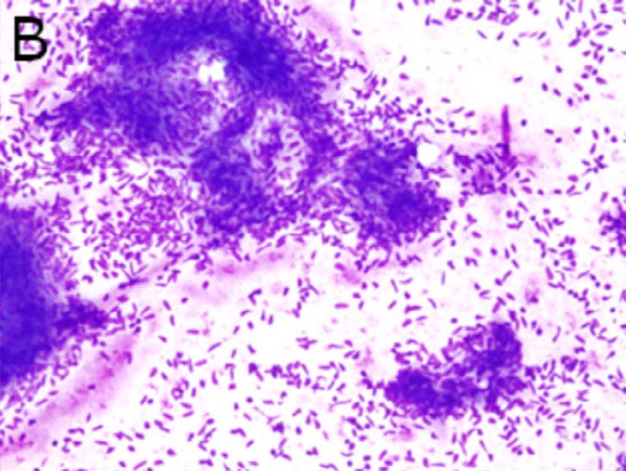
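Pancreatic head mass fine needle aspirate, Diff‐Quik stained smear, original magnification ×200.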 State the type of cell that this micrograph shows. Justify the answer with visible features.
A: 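Spindle shaped tumor cells. Elongated, spindle-shaped purple nuclei of similar size and shape. Cells lie singly and in loose clumps. Little visible cytoplasm around the nuclei.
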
